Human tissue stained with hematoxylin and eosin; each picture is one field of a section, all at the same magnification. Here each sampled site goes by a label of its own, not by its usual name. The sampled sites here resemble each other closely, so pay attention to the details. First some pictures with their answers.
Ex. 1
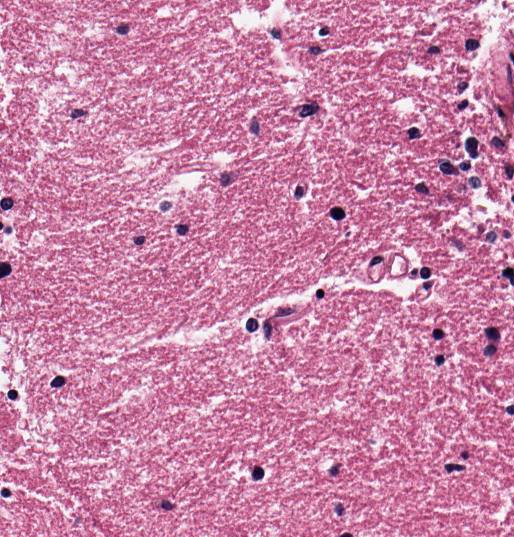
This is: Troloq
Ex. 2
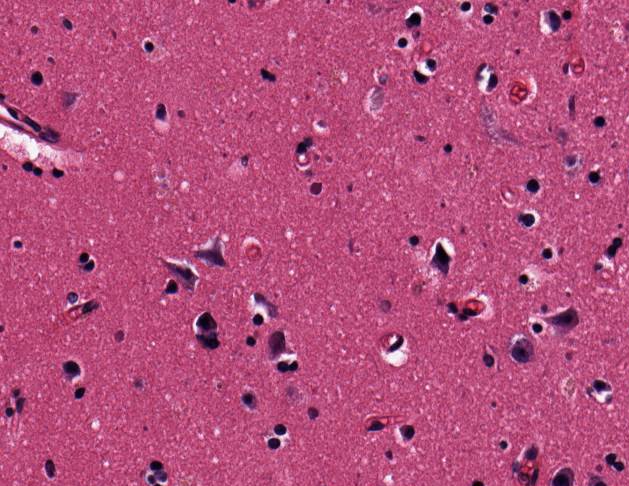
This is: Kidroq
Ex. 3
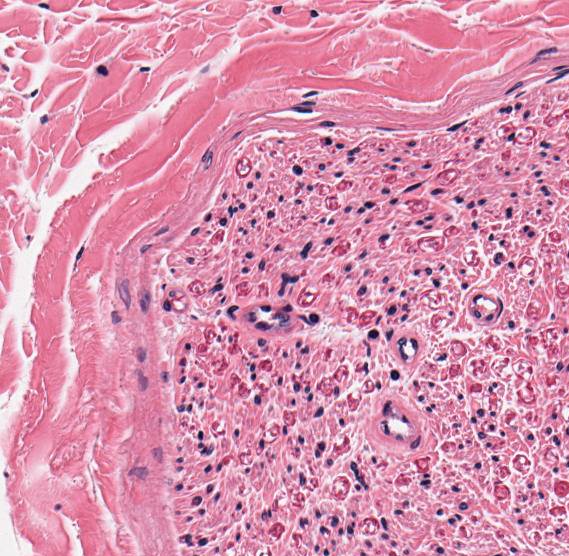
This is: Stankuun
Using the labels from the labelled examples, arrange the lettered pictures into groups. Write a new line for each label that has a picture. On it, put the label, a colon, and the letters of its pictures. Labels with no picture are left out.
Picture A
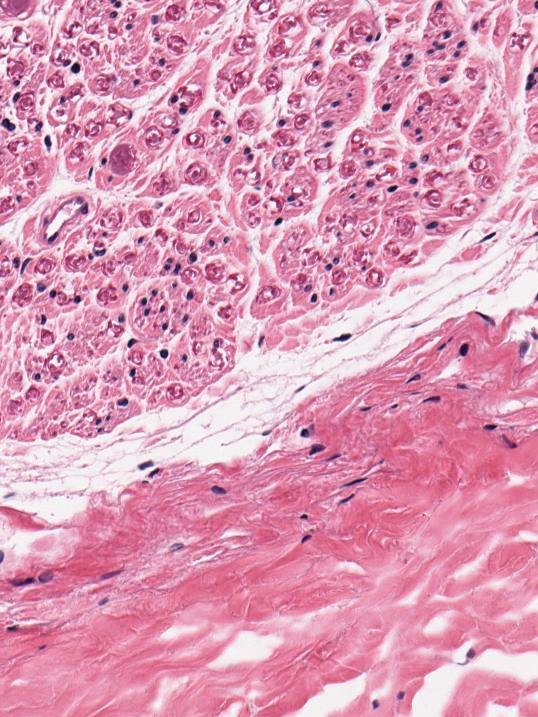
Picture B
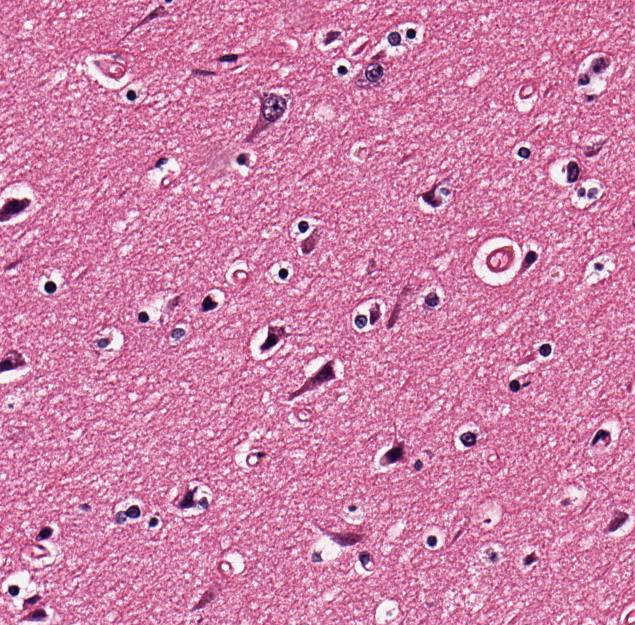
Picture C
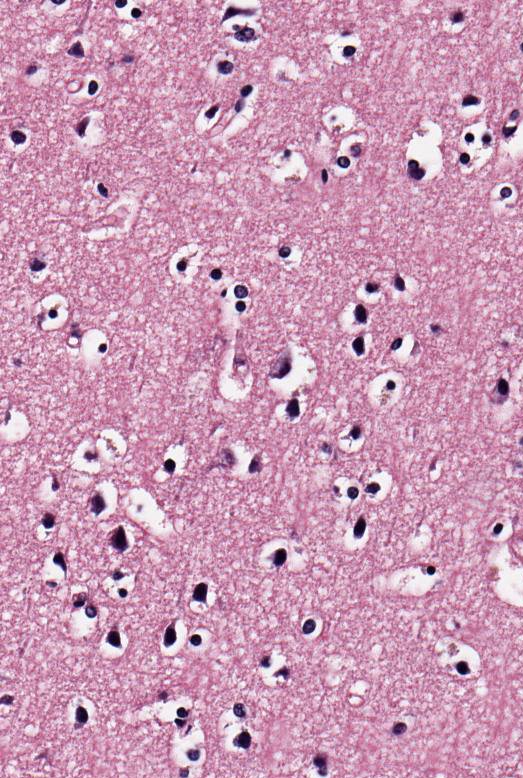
Kidroq: B, C
Stankuun: A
